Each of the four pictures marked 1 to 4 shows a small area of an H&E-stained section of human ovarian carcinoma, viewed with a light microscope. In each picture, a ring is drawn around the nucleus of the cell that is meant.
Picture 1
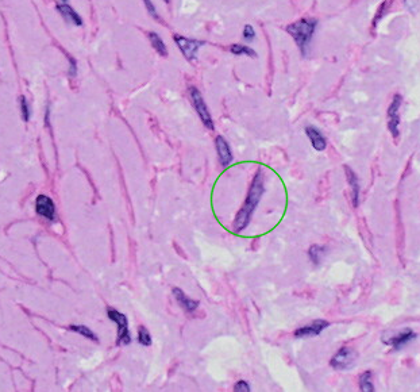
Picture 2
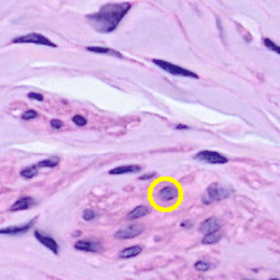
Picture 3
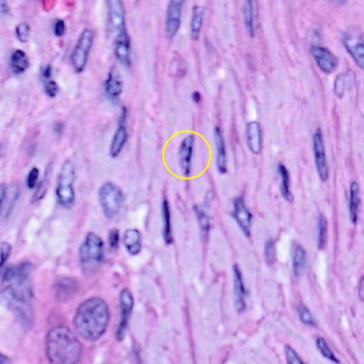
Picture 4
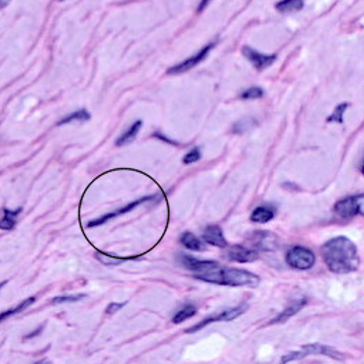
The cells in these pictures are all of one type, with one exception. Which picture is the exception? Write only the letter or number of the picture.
2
